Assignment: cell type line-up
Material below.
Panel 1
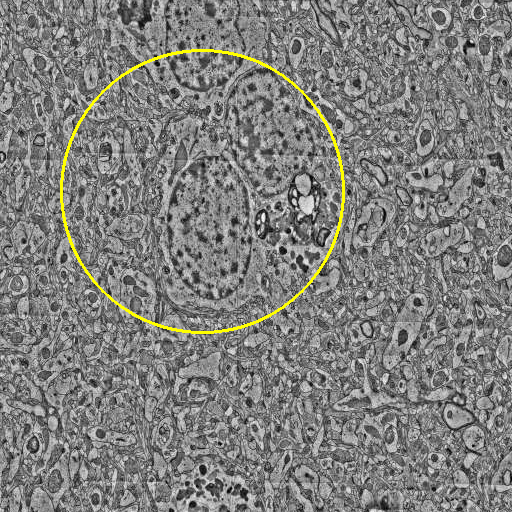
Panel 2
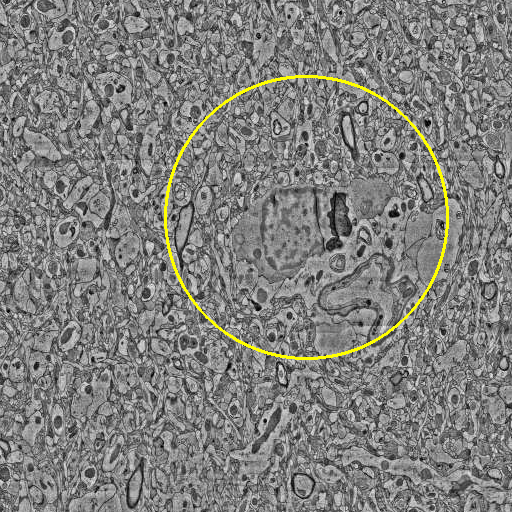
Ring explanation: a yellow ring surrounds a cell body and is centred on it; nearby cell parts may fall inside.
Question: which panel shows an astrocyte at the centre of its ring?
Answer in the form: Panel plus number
Panel 1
